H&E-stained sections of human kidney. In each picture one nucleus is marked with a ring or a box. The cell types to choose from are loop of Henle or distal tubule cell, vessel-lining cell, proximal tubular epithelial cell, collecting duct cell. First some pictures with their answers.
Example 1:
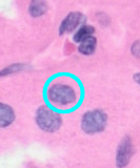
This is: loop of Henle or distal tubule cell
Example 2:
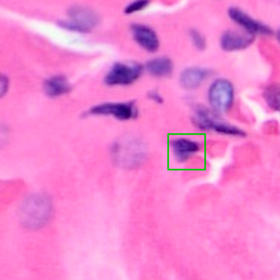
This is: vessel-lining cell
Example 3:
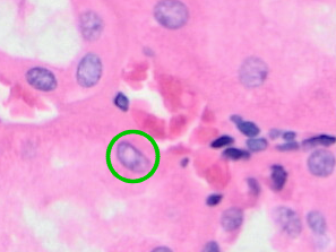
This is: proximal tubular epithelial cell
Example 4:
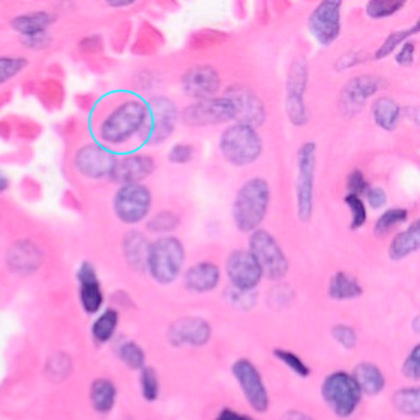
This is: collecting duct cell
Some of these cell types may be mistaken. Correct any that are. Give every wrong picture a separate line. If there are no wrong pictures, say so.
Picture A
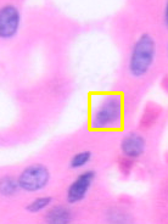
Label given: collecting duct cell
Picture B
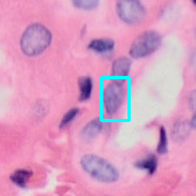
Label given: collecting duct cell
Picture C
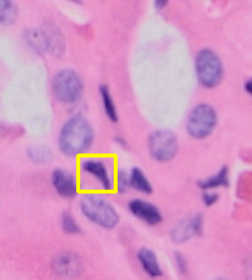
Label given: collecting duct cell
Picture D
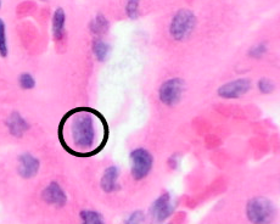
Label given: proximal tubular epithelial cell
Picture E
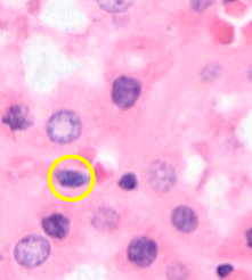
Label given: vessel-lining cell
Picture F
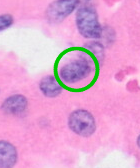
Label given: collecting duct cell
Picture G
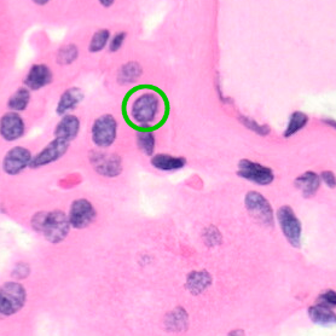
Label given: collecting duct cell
Wrong: D (proximal tubular epithelial cell); correct: loop of Henle or distal tubule cell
